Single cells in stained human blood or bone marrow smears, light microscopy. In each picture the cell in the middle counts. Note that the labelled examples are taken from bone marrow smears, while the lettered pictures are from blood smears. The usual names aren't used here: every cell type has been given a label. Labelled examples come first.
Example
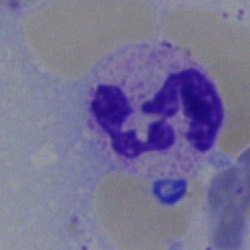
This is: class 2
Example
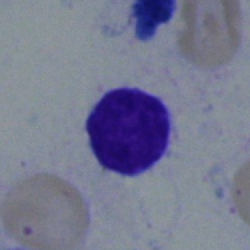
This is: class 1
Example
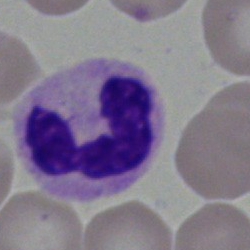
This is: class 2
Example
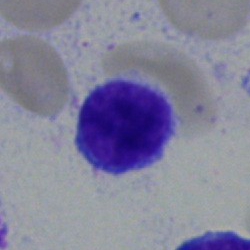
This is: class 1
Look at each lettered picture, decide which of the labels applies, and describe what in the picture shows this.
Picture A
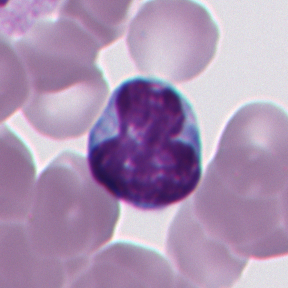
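class 1. Evidence: The nucleus fills most of the cell.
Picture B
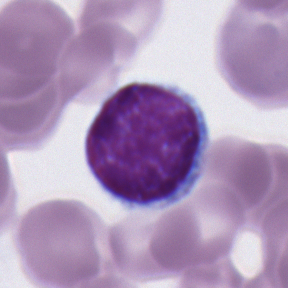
class 1. Evidence: The cytoplasm forms only a thin rim around the nucleus.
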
